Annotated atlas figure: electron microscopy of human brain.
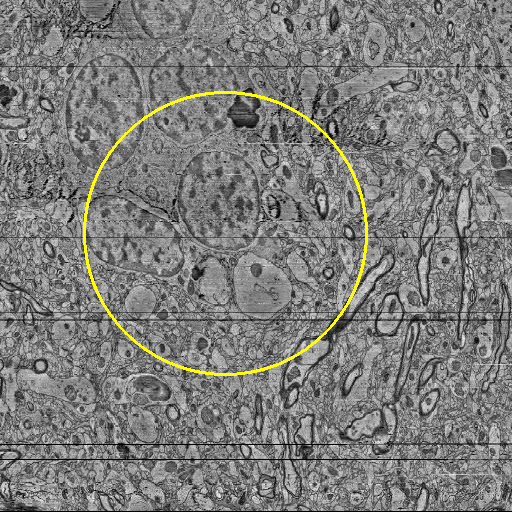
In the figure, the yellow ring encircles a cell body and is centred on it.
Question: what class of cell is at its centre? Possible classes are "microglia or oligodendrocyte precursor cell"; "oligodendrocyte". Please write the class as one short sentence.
The yellow ring is drawn around an oligodendrocyte.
